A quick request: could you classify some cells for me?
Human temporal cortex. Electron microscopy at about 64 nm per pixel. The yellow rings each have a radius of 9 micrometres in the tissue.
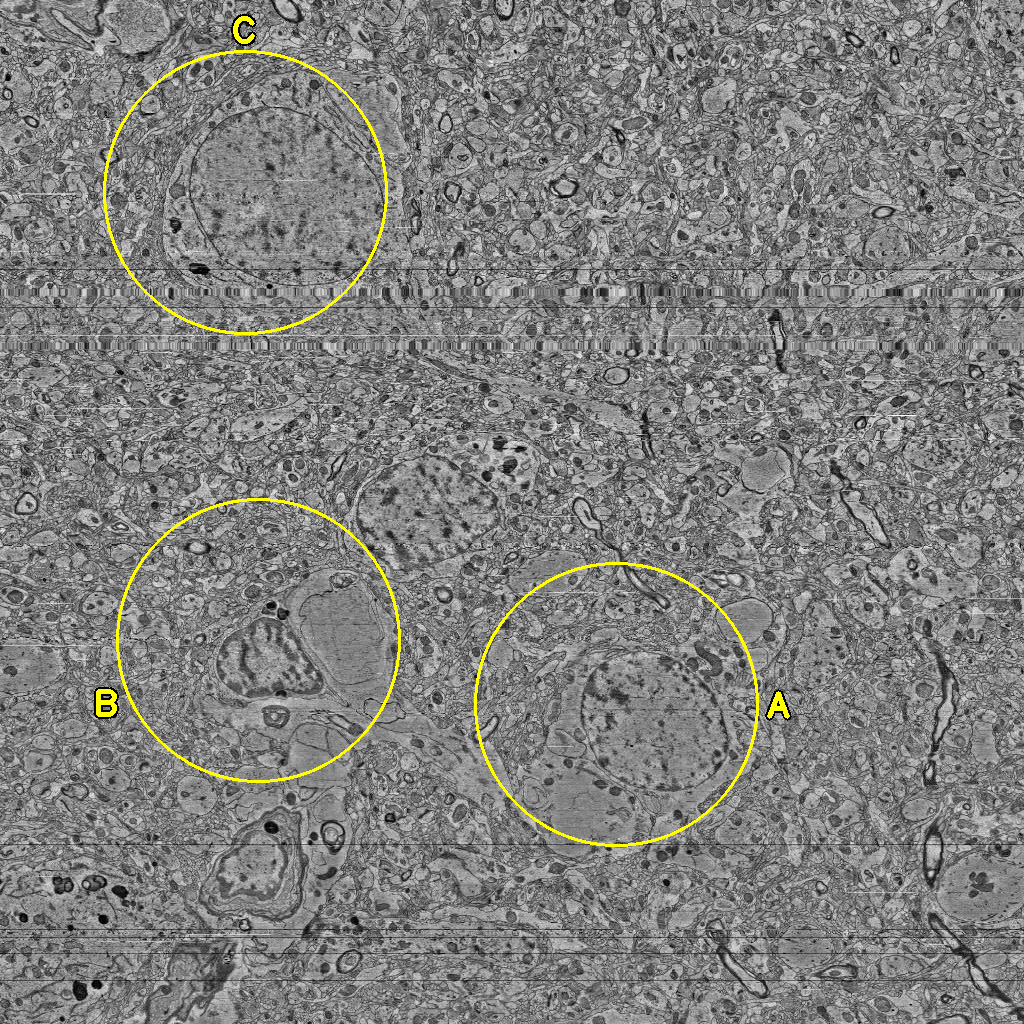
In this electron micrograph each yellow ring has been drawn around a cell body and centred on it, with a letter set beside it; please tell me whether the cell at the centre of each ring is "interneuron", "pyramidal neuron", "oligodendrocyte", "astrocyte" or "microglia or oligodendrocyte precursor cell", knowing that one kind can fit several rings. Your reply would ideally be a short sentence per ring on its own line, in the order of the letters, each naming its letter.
Ring A has an astrocyte at its centre.
Ring B has a microglial cell or oligodendrocyte precursor cell at its centre.
Ring C has a pyramidal neuron at its centre.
